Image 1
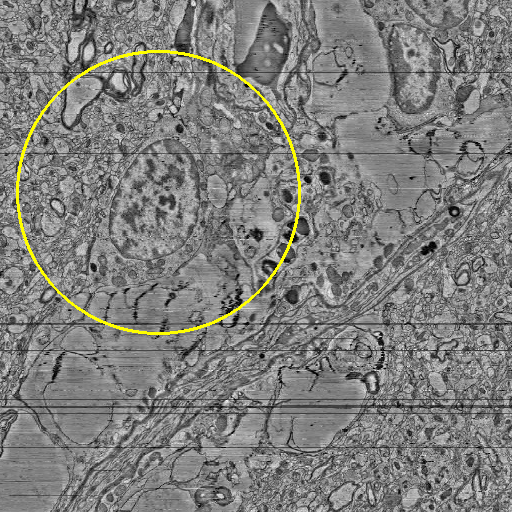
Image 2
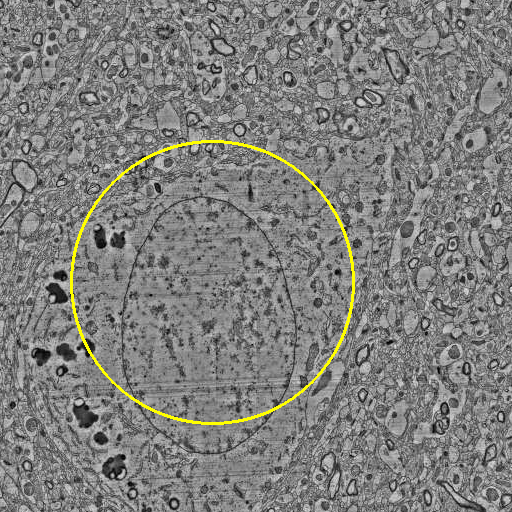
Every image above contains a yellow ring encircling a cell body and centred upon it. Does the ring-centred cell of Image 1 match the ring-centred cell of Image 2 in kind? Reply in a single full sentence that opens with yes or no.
No, the cell at the ring's centre in Image 1 is a separate kind from that in Image 2.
